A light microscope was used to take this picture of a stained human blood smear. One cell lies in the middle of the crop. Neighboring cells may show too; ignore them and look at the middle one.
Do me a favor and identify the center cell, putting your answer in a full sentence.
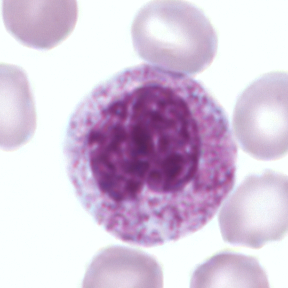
Positioned in the middle of the crop is a band neutrophil.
